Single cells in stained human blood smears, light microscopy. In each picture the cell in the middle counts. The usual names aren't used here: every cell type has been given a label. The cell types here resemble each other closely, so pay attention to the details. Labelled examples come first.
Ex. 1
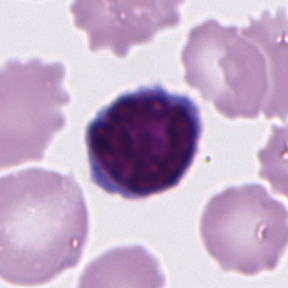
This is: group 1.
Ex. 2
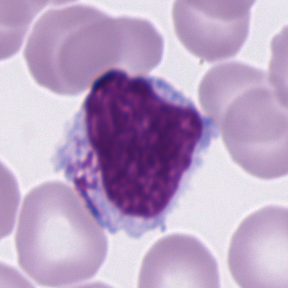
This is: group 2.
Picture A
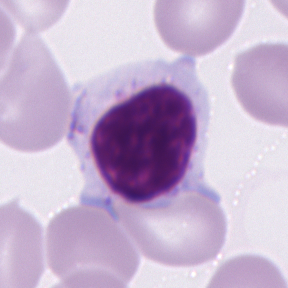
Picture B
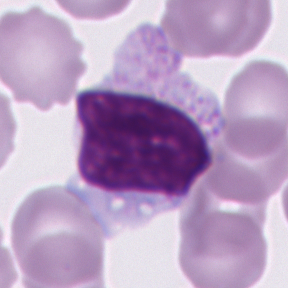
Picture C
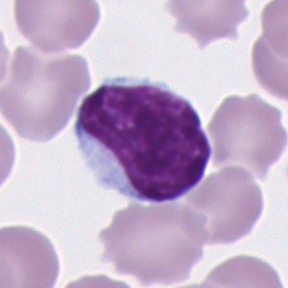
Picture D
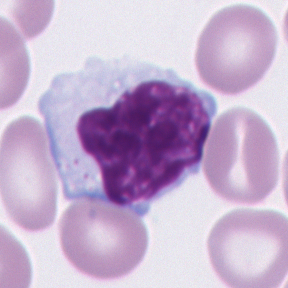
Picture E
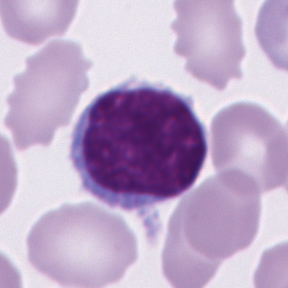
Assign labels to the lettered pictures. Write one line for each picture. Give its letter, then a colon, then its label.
A: group 2.
B: group 2.
C: group 1.
D: group 2.
E: group 1.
